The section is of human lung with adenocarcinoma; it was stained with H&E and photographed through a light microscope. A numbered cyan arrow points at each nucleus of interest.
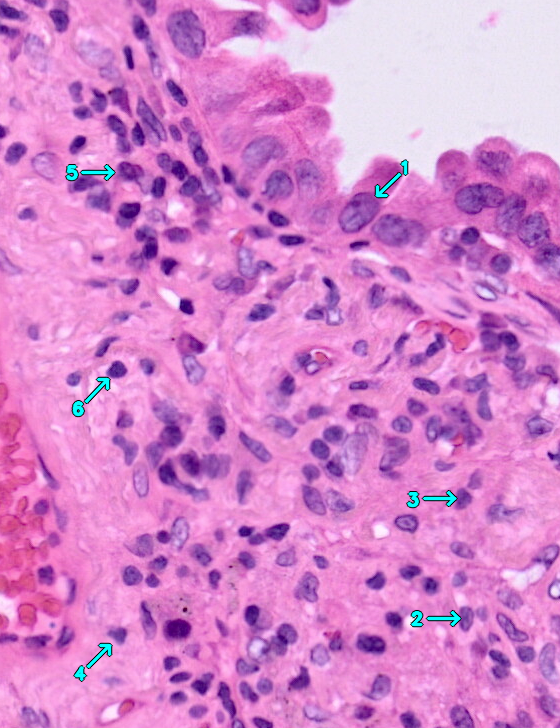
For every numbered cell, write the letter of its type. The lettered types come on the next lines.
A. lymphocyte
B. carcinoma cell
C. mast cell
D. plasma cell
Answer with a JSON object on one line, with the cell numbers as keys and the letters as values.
{"1": "B", "2": "A", "3": "A", "4": "A", "5": "D", "6": "A"}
